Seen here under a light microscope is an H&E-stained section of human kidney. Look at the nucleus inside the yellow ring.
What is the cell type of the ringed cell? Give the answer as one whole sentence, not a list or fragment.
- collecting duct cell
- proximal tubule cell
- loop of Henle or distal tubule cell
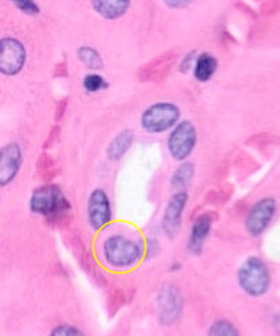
Within the stained tissue, the ringed cell is a collecting duct cell.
